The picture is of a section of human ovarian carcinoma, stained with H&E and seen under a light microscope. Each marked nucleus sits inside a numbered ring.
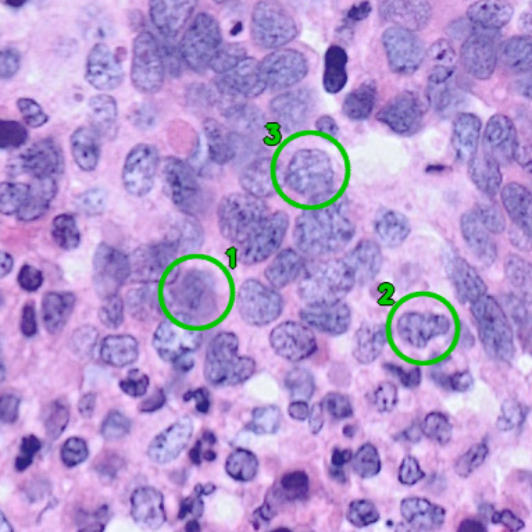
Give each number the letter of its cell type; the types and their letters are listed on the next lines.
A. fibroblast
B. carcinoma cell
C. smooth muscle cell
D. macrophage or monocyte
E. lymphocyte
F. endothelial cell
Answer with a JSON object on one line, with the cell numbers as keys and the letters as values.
{"1": "B", "2": "D", "3": "B"}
